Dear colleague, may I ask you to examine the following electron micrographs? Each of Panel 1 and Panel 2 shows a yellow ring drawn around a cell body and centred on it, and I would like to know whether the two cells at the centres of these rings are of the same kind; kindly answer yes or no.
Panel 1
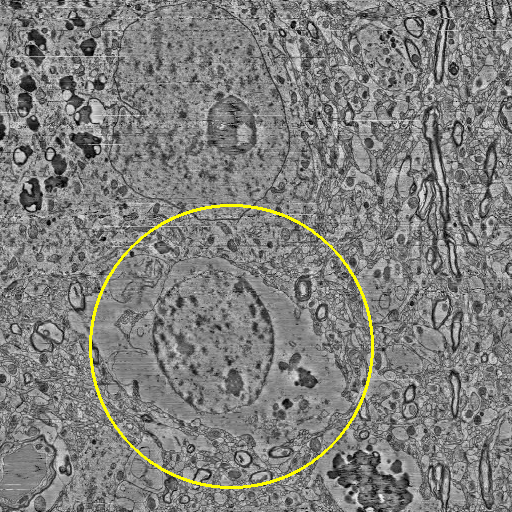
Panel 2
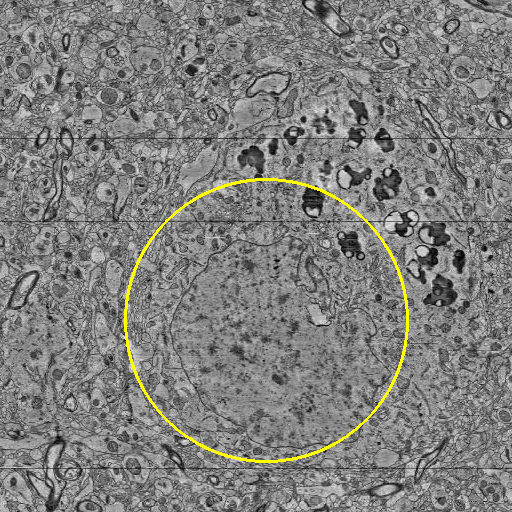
no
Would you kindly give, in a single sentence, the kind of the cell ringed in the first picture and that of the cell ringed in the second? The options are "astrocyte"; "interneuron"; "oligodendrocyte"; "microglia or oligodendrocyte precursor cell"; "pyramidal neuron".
The second cell is a pyramidal neuron, and the first cell is an astrocyte.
